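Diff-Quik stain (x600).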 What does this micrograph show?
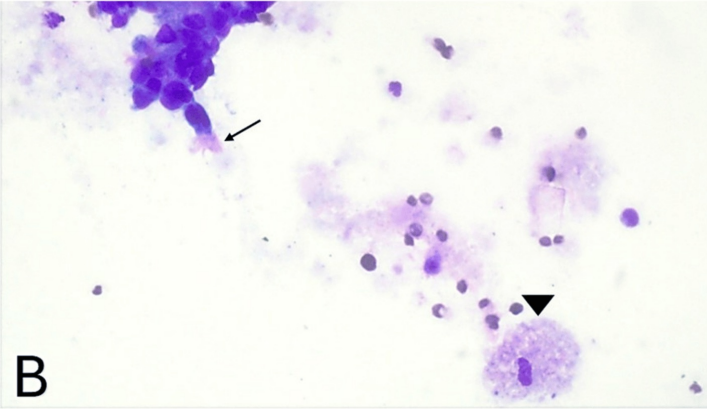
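Cytologic smear with a crowded cluster of ciliated columnar epithelium at the upper left and scattered macrophages. At the edge of the cluster, an elongated columnar cell carries a pale pink fringe of cilia at its free end. The cluster has dark purple, round to oval nuclei packed closely together. To the lower right lies a large macrophage with abundant pale, granular purple cytoplasm and a small dark nucleus, among smaller round cells and wispy pale debris.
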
